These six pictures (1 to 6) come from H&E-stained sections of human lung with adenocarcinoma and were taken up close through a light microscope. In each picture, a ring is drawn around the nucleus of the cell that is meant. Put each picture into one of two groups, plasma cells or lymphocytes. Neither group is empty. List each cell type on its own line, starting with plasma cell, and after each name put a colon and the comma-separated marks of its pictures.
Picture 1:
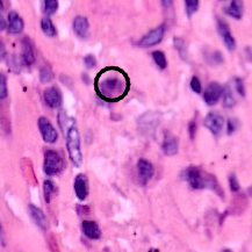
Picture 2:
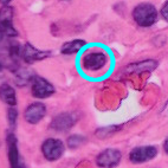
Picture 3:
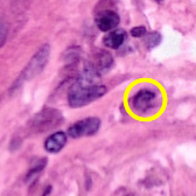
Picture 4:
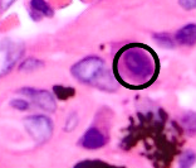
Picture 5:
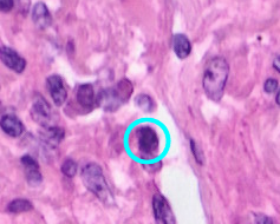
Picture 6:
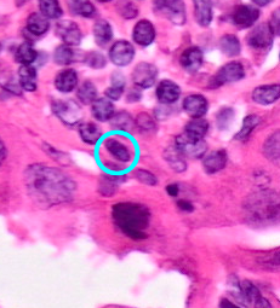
plasma cell: 1, 3, 4, 5
lymphocyte: 2, 6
